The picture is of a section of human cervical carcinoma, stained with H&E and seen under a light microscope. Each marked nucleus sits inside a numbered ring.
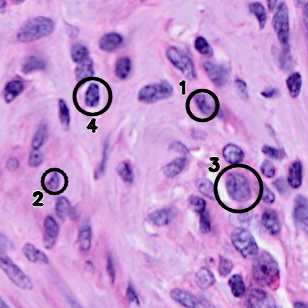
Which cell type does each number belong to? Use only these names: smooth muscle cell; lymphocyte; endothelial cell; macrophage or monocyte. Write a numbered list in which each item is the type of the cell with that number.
1. endothelial cell
2. smooth muscle cell
3. endothelial cell
4. lymphocyte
